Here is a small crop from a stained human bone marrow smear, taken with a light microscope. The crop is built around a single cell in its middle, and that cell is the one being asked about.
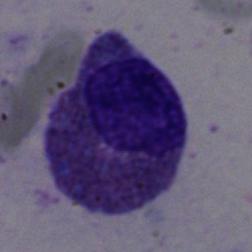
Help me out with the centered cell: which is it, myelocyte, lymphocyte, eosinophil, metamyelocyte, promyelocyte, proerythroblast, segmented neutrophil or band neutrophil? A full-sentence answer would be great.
Framed in the middle of the crop is an eosinophil.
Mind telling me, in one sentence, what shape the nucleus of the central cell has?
A single compact nucleus is present, shaped round, oval or like a kidney.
